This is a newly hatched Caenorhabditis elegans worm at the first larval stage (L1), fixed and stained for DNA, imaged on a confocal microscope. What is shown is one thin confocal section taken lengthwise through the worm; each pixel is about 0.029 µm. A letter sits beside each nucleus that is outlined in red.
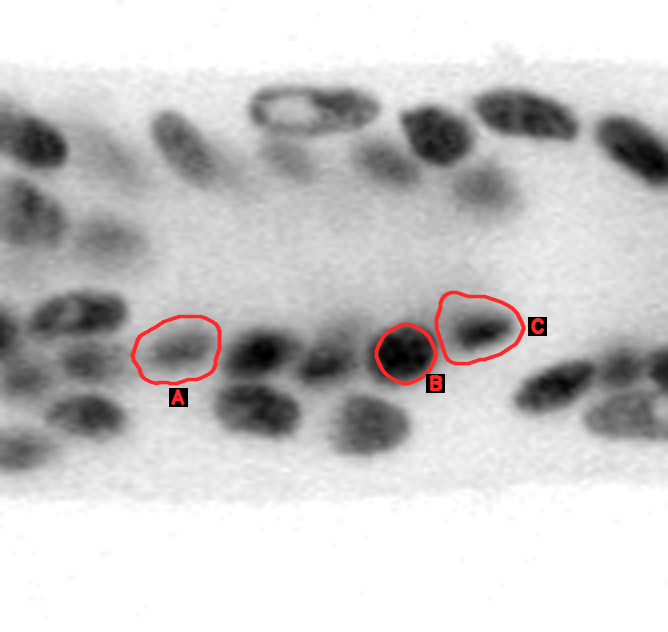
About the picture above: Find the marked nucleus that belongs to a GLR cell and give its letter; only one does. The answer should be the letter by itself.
C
